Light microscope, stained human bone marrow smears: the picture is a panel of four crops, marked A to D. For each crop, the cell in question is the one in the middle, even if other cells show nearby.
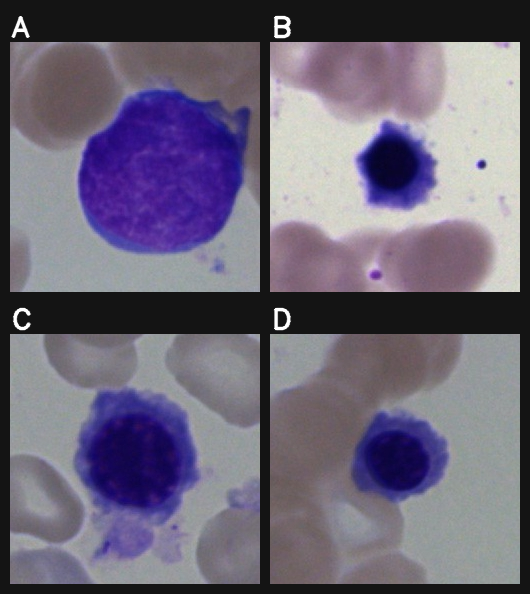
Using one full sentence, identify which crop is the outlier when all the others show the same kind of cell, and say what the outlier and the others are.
Crop A is a blast, while the rest of the set consists of normoblasts.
